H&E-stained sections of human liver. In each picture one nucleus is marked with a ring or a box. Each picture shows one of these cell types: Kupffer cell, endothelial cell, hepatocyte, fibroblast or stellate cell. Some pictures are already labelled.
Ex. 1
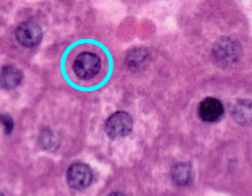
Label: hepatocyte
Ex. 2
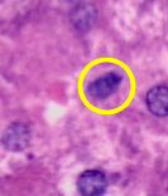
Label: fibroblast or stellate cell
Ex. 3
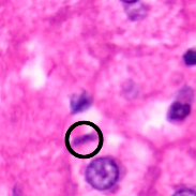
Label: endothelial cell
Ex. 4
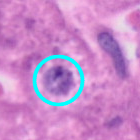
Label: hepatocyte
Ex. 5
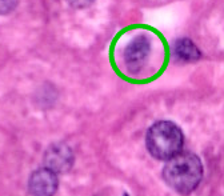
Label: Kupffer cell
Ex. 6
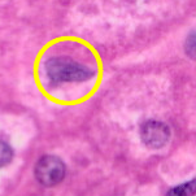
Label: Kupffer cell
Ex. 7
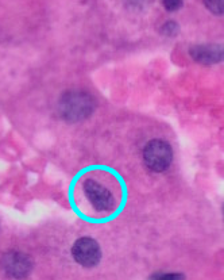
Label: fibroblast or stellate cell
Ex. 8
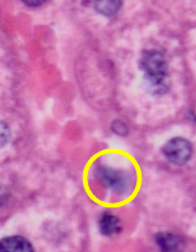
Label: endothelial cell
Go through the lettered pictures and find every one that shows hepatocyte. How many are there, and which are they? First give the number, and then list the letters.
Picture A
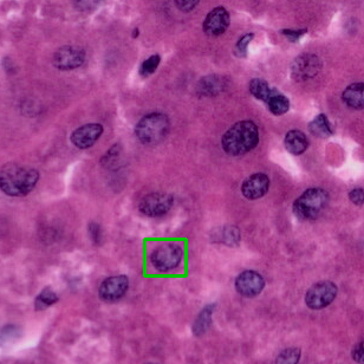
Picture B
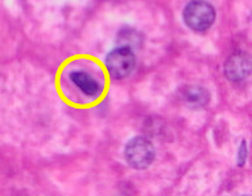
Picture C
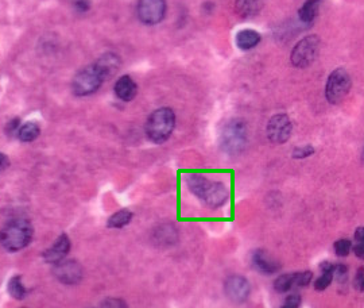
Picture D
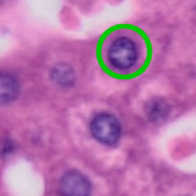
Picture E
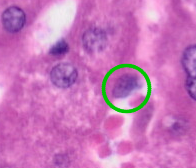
2, namely A, D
